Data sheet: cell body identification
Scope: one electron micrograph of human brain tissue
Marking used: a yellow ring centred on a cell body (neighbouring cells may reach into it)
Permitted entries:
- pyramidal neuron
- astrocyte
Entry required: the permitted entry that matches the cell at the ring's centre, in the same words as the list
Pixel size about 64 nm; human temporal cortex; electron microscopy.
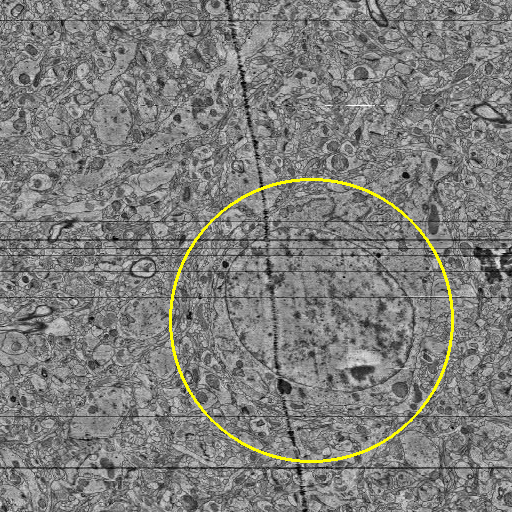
pyramidal neuron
